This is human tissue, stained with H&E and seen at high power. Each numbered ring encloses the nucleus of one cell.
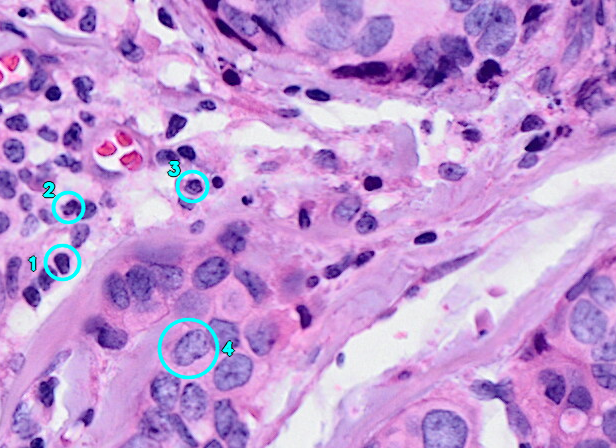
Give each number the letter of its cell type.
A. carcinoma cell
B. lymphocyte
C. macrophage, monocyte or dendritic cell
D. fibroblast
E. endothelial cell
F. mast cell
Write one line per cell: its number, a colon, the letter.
1: B
2: B
3: B
4: A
